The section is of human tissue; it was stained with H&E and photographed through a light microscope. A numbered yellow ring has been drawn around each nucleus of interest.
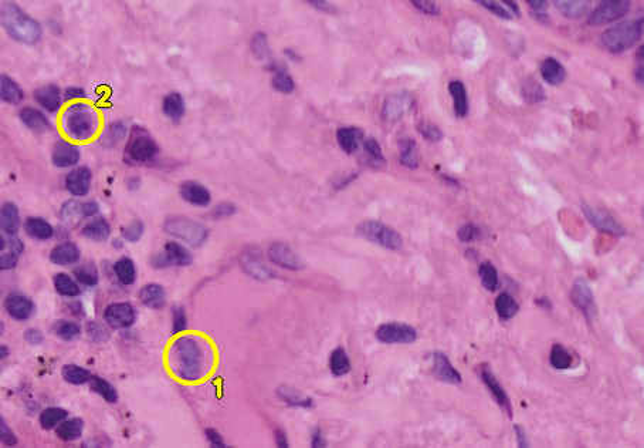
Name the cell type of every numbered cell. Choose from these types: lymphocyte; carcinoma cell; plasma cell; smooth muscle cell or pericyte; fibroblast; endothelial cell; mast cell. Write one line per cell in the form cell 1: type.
cell 1: endothelial cell
cell 2: lymphocyte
